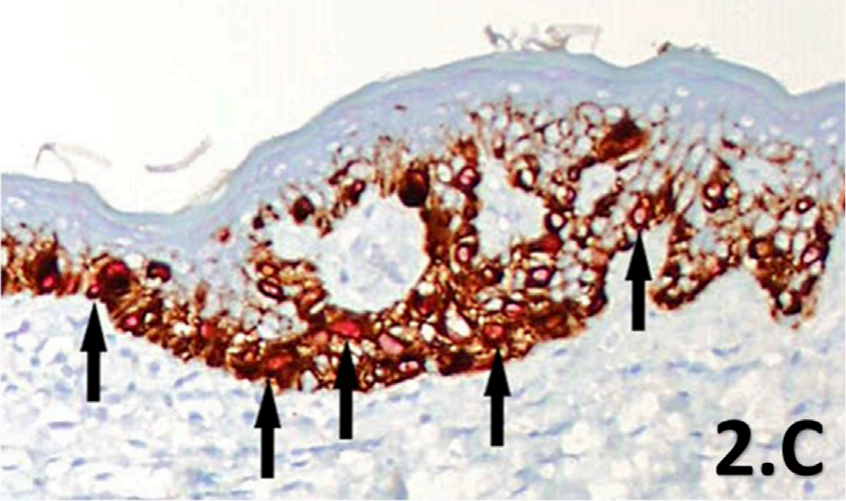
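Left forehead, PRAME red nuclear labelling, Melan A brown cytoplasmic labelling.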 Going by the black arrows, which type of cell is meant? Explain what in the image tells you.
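Junctional melanocytes. The arrows point to cells at the junction of epidermis and dermis. The marked cells have red nuclei within brown cytoplasm. Many such cells crowd the lower epidermis.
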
